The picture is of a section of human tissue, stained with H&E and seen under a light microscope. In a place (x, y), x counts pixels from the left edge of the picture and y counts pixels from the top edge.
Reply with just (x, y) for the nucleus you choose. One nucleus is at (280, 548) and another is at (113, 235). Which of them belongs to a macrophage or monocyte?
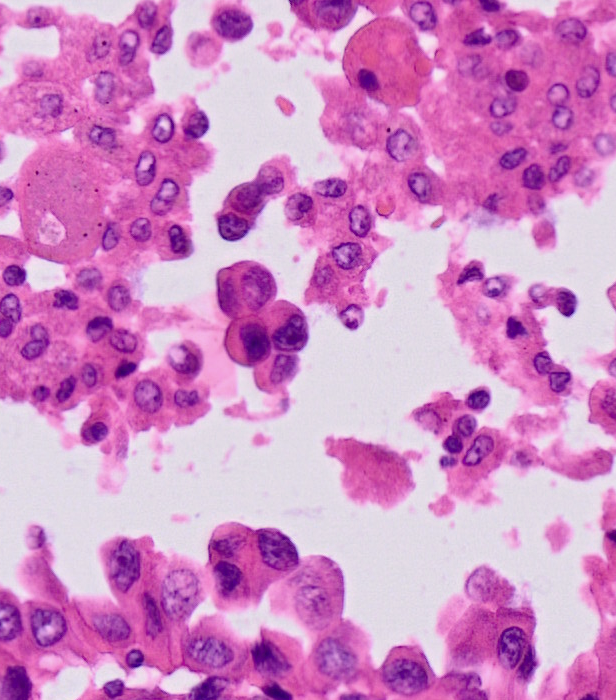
(113, 235)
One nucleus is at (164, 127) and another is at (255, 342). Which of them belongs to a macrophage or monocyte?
(164, 127)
